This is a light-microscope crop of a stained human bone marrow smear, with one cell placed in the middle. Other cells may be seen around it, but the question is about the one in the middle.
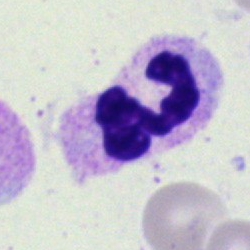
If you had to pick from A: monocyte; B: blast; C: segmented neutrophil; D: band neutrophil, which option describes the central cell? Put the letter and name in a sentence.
Occupying the middle of the crop is a segmented neutrophil, hence option C is correct.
